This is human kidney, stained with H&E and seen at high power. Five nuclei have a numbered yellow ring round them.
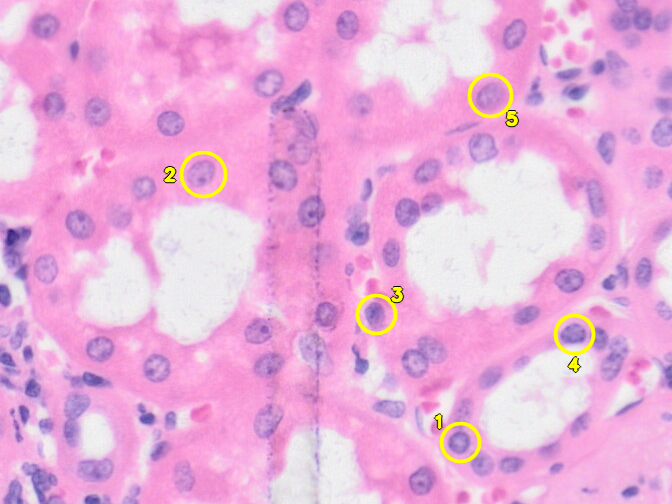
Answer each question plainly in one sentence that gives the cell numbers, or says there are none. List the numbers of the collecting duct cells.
The cells identified by the numbers 1 and 4 are collecting duct cells.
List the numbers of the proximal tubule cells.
Identified as proximal tubule cells are the cells numbered 2 and 5.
